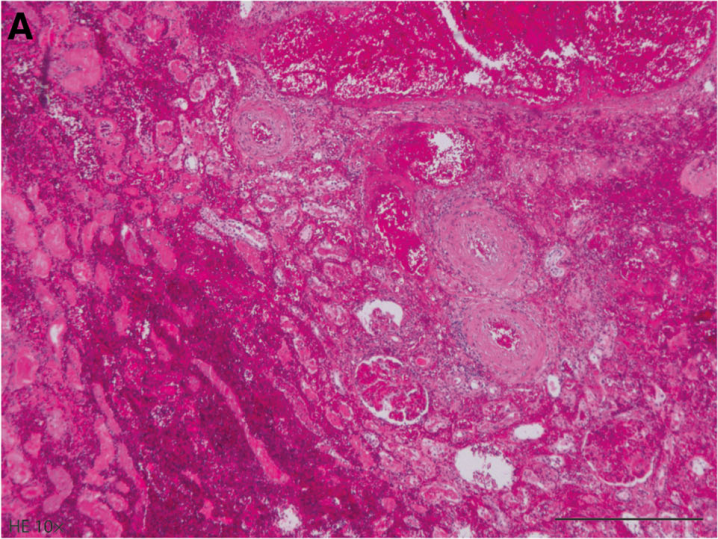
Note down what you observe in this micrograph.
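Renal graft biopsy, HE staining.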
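This is kidney cortex with tubules, glomeruli and small arteries, overrun by extensive bleeding. Broad sheets of red blood cells fill the interstitium and separate the tubules, which appear pale and poorly preserved. Several glomeruli have capillary loops distended with red cells, and two thick-walled arteries with narrow lumens sit near the centre.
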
